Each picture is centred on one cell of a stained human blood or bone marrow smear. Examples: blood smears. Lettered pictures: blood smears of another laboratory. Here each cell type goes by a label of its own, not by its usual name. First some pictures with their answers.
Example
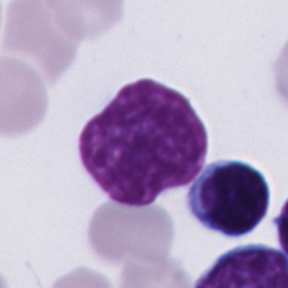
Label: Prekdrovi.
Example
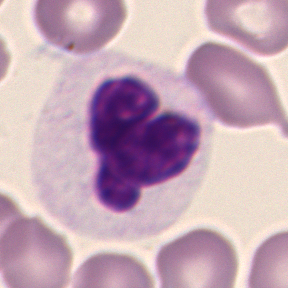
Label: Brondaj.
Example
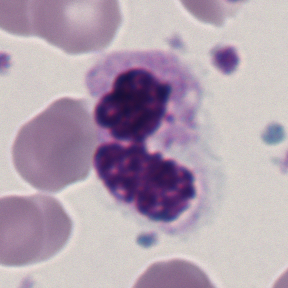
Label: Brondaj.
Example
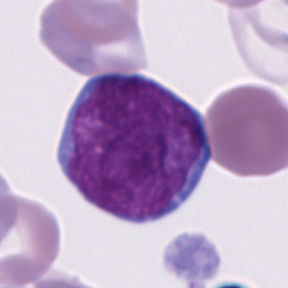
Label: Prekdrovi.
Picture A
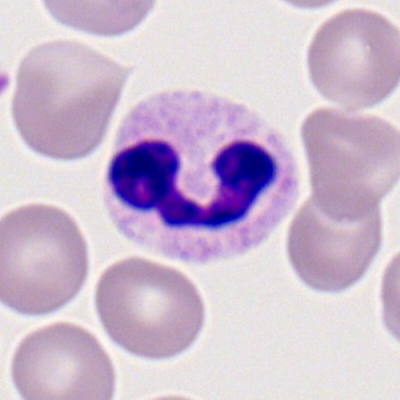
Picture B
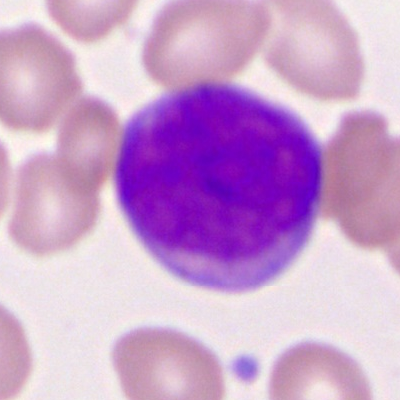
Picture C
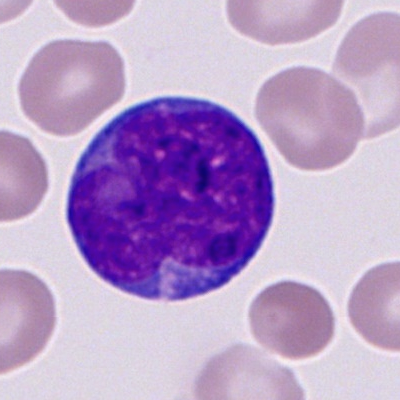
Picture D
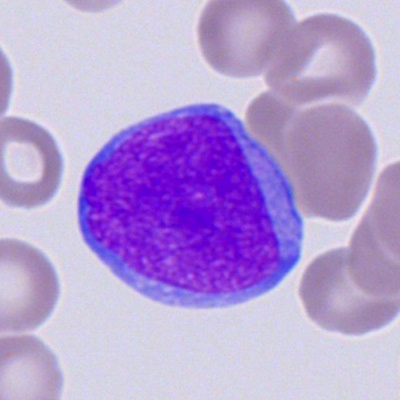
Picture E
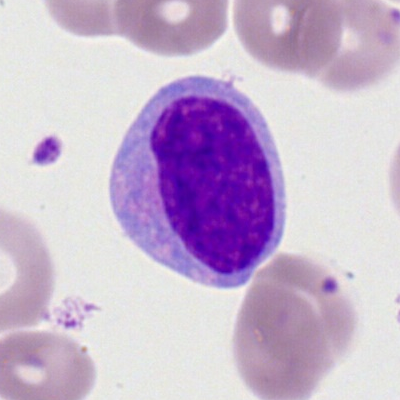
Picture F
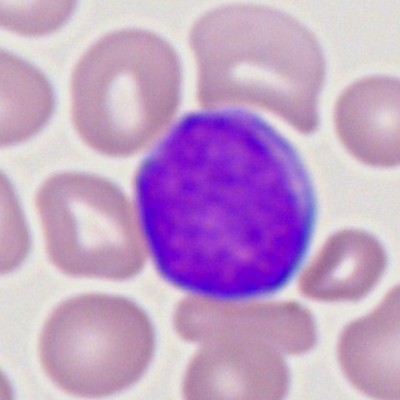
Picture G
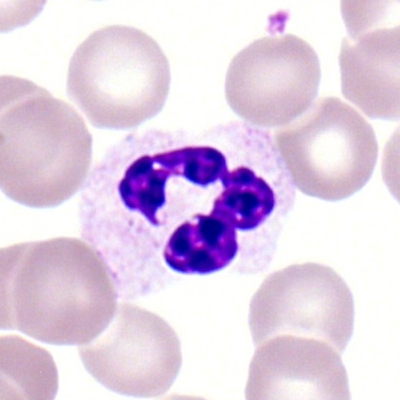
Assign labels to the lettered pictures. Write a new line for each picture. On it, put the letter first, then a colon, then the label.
A: Brondaj.
B: Prekdrovi.
C: Prekdrovi.
D: Prekdrovi.
E: Prekdrovi.
F: Prekdrovi.
G: Brondaj.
